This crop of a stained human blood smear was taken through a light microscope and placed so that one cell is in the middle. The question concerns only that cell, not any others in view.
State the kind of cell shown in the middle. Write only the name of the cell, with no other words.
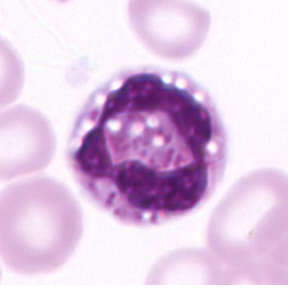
eosinophil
